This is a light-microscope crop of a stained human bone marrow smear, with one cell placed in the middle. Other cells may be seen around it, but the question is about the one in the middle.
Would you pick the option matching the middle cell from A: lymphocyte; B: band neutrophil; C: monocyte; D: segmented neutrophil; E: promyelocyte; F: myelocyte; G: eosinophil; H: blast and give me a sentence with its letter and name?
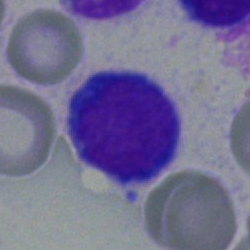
Option A is the keyed answer: the cell in the middle is a lymphocyte.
